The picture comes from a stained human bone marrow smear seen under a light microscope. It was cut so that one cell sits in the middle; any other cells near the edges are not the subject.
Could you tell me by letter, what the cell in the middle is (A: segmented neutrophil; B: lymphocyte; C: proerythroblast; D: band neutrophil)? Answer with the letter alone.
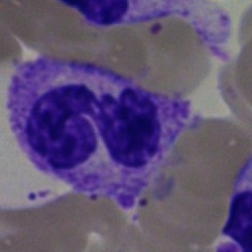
A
